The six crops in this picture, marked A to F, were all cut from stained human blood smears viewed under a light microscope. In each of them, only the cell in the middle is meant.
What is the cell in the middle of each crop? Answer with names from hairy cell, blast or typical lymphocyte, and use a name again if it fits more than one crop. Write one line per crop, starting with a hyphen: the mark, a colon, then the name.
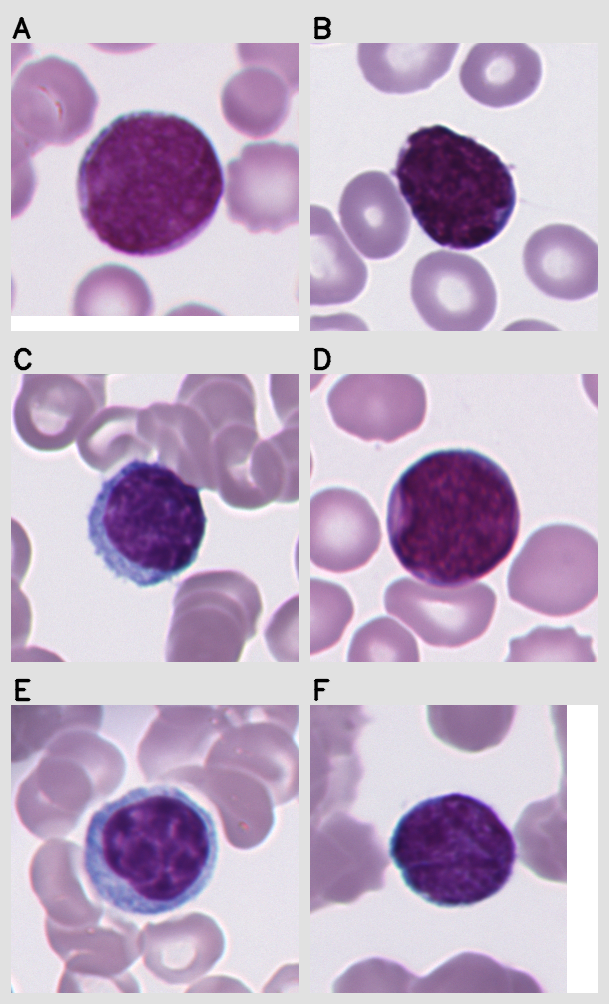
- A: blast
- B: blast
- C: typical lymphocyte
- D: blast
- E: typical lymphocyte
- F: typical lymphocyte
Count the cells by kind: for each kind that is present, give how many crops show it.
blast: 3
typical lymphocyte: 3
